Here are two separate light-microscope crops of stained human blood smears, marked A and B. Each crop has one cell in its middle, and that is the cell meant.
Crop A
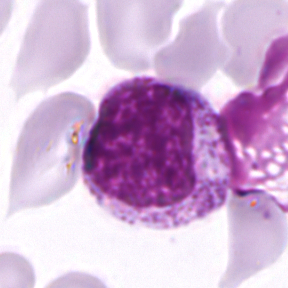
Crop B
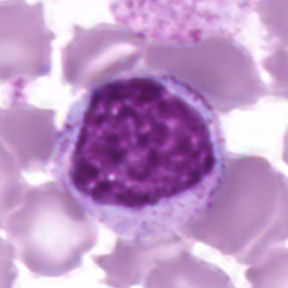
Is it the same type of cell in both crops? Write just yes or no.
yes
